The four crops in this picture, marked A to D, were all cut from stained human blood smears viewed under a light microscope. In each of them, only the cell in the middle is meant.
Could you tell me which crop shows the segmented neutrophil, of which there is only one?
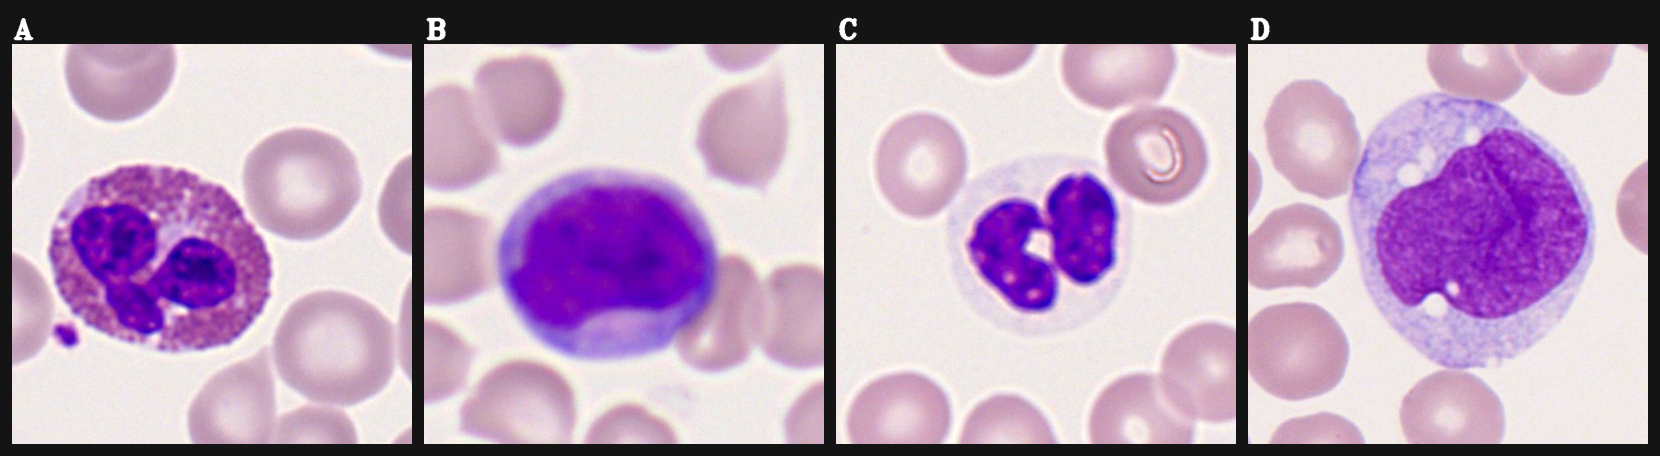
C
